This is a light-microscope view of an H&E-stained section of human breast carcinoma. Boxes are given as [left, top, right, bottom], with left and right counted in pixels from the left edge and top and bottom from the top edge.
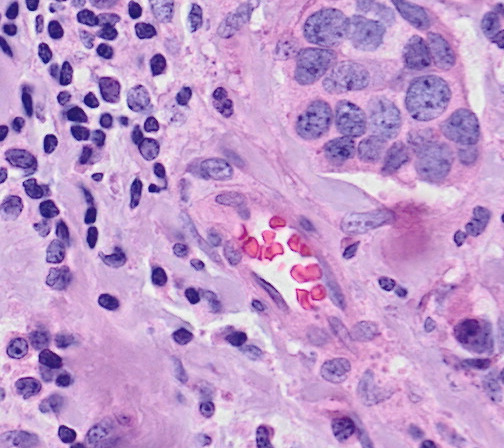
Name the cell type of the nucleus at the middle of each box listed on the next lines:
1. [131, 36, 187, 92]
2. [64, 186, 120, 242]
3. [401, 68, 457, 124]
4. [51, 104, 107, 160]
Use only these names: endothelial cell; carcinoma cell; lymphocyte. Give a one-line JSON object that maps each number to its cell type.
{"1": "lymphocyte", "2": "lymphocyte", "3": "carcinoma cell", "4": "lymphocyte"}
